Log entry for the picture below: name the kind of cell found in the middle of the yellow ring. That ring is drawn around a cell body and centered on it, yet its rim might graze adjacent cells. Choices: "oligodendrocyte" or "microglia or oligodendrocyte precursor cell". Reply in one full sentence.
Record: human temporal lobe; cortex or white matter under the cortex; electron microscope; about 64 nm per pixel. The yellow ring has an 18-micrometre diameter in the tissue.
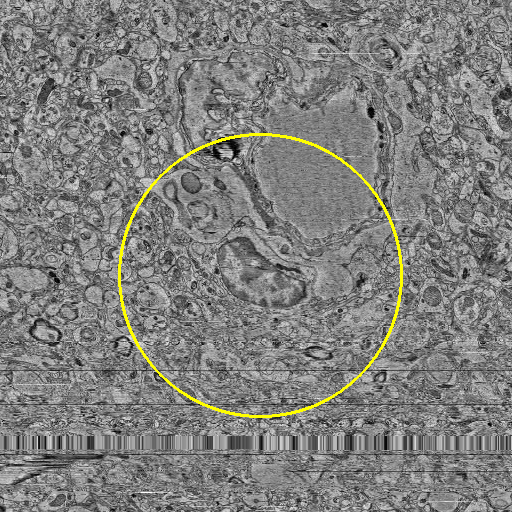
The cell in the middle of the yellow ring in this picture is a microglial cell or oligodendrocyte precursor cell.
